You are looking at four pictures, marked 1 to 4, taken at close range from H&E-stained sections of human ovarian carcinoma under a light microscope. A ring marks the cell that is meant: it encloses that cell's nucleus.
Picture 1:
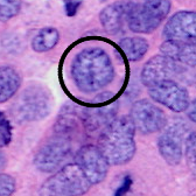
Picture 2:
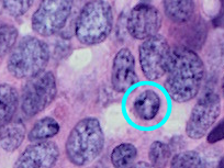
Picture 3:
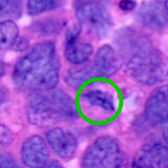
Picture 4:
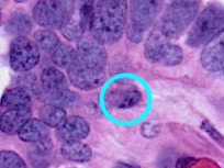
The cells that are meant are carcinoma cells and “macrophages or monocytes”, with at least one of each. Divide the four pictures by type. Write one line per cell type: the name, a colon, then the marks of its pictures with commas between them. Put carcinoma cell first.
carcinoma cell: 1
macrophage or monocyte: 2, 3, 4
